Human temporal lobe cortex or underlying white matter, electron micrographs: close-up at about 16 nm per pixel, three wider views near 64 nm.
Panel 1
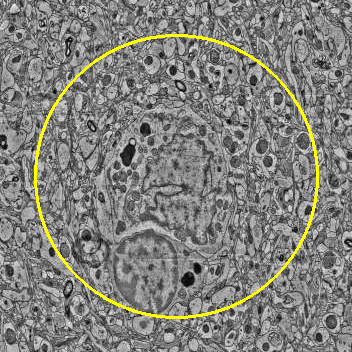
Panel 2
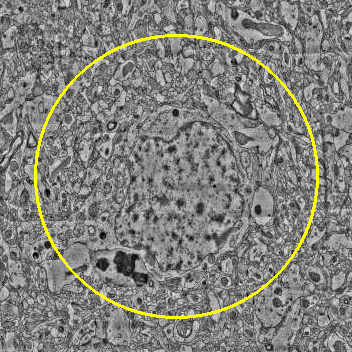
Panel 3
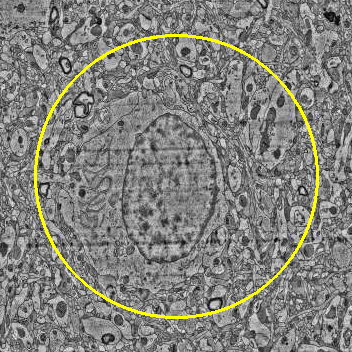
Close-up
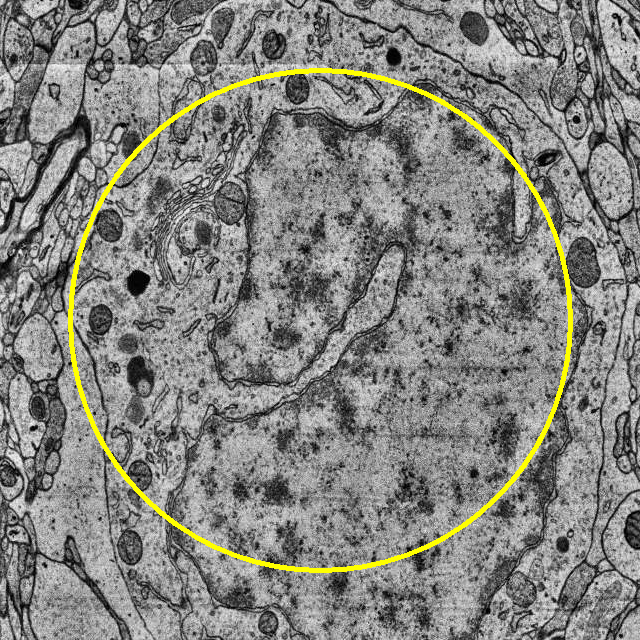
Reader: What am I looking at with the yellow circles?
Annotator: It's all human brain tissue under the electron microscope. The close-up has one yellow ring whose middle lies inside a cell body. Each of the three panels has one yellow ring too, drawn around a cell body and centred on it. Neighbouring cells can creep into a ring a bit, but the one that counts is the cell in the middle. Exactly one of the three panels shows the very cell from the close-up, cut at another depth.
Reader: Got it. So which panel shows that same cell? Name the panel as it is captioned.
Panel 1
